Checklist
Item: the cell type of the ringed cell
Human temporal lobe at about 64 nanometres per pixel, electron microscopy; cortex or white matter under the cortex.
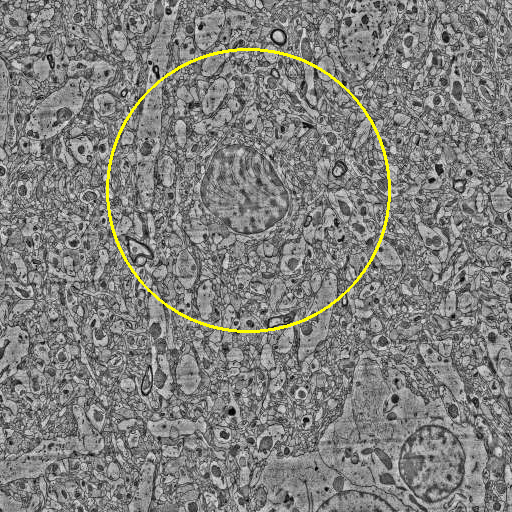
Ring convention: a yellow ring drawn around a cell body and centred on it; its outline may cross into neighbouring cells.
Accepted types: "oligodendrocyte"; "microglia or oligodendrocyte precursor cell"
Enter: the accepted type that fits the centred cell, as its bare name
microglia or oligodendrocyte precursor cell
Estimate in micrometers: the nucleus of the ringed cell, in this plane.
In this plane the nucleus measures roughly 6 by 5 micrometers.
